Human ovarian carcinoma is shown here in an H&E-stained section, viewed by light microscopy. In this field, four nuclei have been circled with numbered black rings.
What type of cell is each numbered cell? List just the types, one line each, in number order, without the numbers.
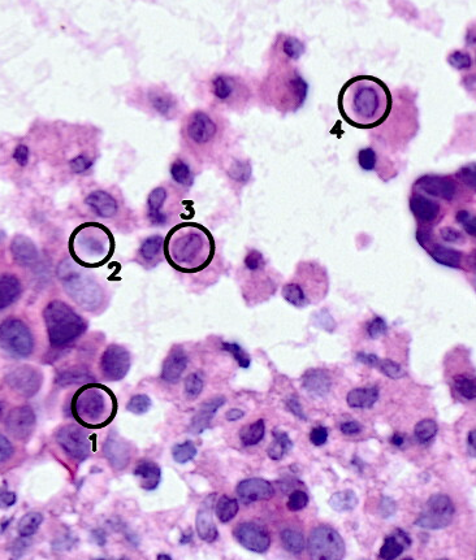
carcinoma cell
macrophage or monocyte
macrophage or monocyte
macrophage or monocyte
